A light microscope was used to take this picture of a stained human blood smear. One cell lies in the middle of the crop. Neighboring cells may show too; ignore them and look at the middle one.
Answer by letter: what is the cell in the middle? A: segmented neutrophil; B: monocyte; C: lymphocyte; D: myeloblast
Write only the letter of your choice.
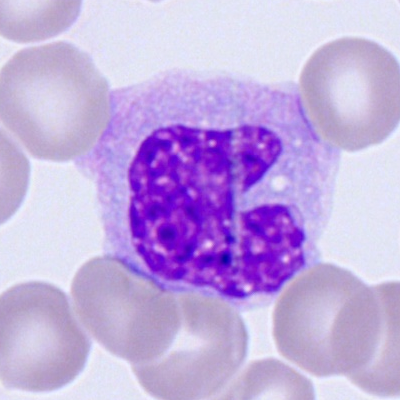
B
